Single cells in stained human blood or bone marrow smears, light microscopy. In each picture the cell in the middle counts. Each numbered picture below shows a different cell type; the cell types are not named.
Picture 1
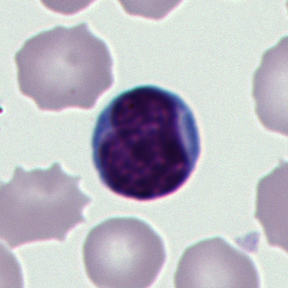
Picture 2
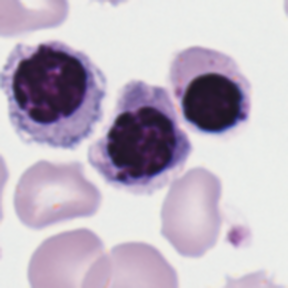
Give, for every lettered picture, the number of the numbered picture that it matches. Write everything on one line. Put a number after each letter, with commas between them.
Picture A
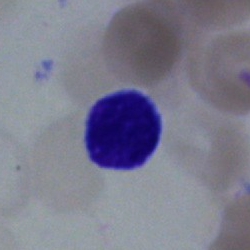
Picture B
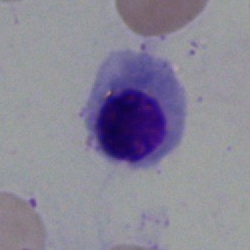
A 1, B 2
